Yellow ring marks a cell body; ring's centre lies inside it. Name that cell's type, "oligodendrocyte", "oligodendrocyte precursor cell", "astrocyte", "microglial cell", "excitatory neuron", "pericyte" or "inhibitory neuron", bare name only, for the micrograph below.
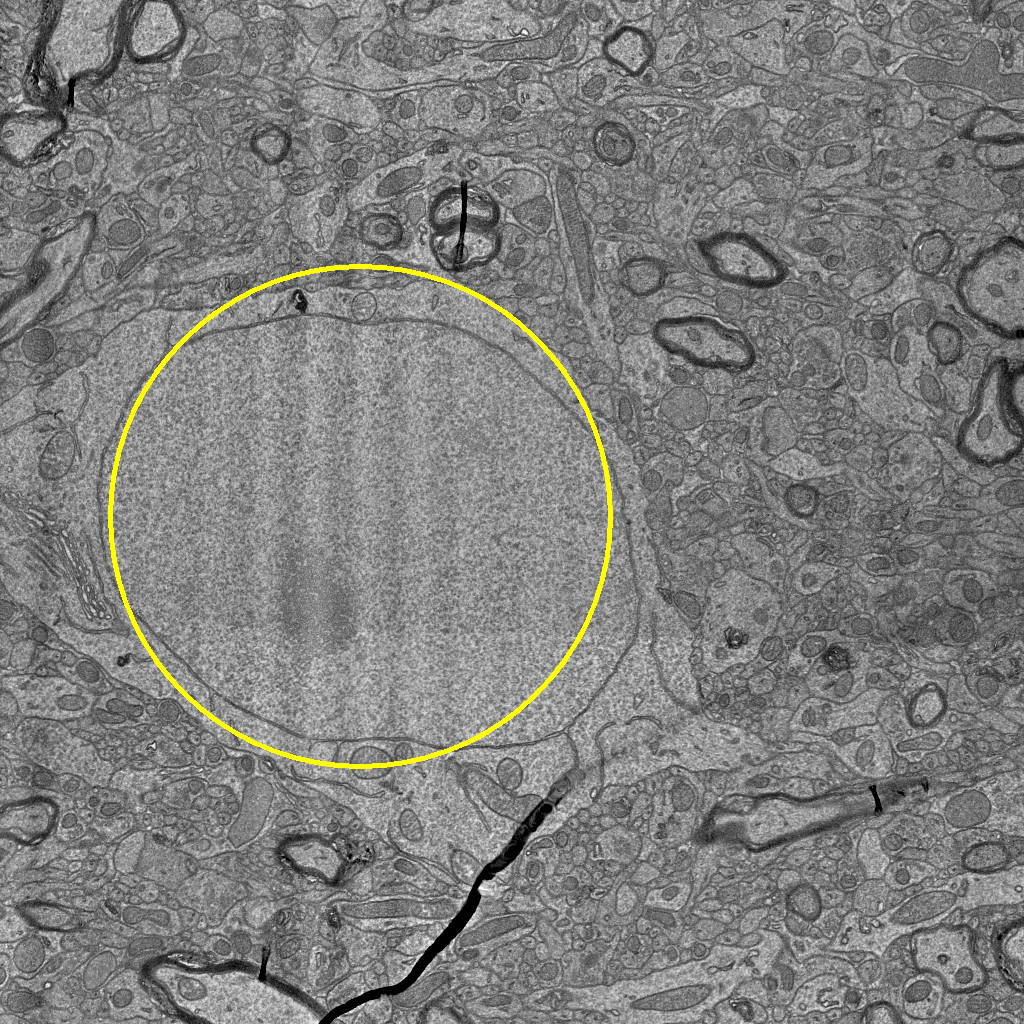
excitatory neuron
